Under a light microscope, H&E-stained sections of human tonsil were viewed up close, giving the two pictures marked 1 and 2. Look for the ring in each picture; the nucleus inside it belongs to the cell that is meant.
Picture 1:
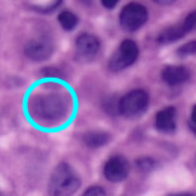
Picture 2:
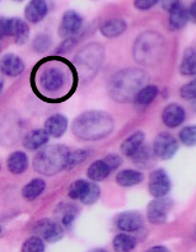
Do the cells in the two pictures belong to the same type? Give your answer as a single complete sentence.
No, picture 1 shows a squamous epithelial cell and picture 2 shows an endothelial cell.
